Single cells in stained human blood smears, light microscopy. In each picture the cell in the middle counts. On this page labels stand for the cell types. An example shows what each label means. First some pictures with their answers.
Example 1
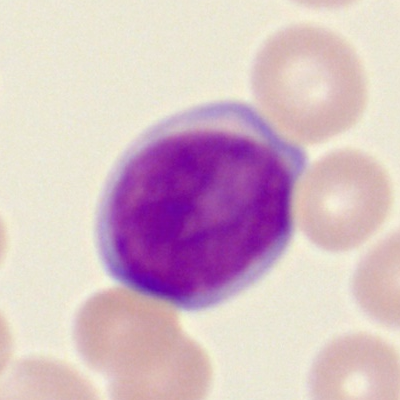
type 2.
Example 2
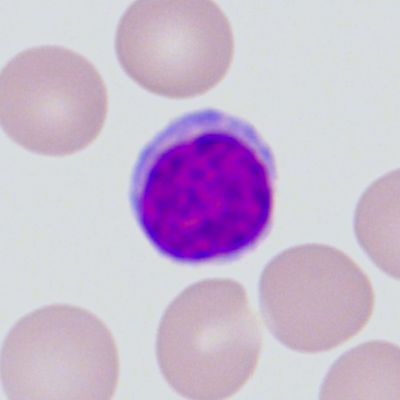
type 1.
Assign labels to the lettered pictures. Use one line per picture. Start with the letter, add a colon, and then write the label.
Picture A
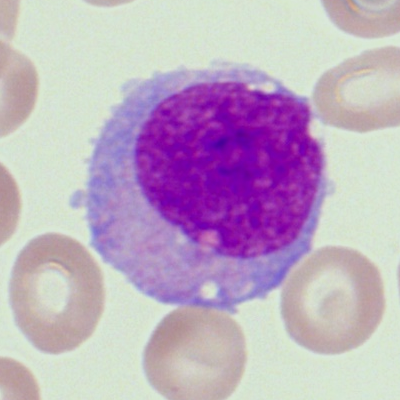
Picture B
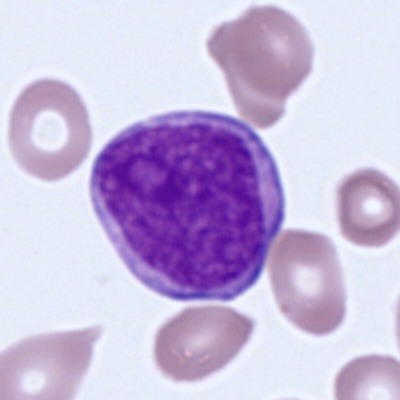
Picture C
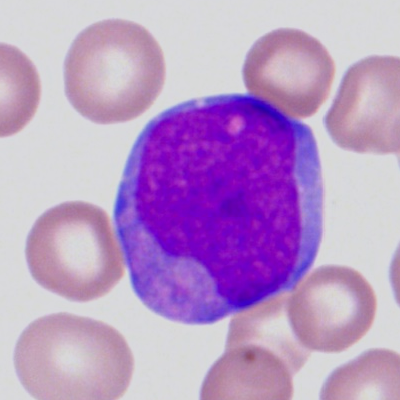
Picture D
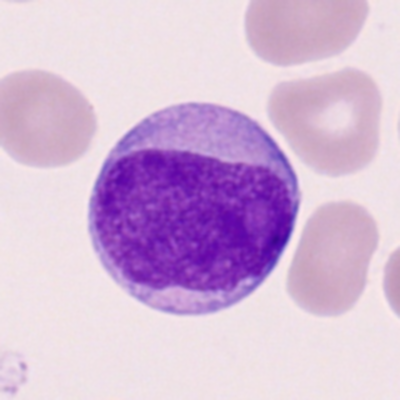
A: type 2.
B: type 2.
C: type 2.
D: type 2.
